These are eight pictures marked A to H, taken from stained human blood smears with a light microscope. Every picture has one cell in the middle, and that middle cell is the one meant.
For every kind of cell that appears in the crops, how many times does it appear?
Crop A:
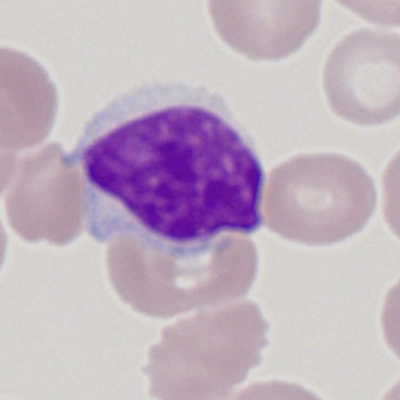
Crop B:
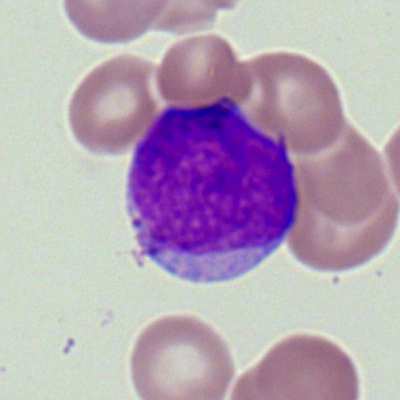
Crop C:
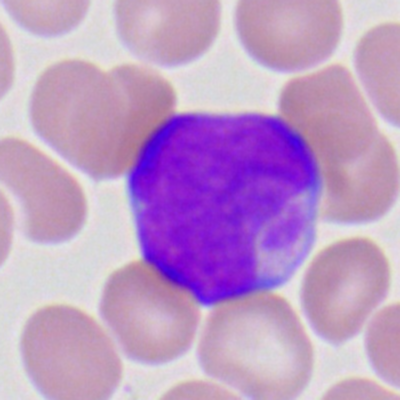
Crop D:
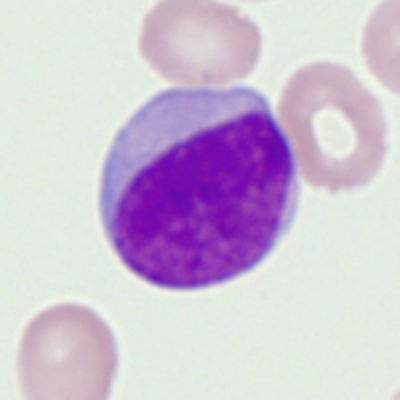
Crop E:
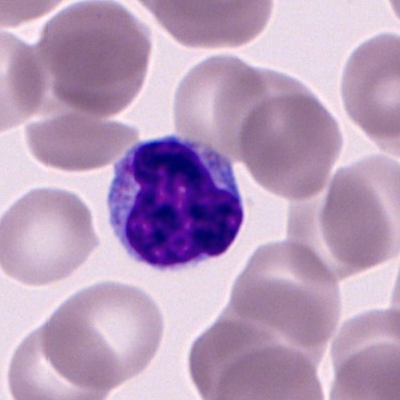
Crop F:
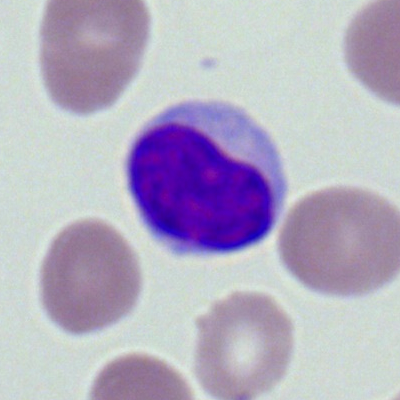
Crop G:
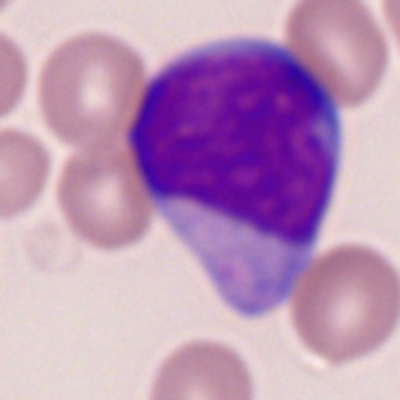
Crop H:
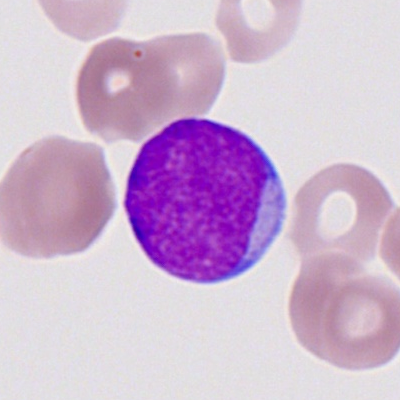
myeloblast: 5
lymphocyte: 3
